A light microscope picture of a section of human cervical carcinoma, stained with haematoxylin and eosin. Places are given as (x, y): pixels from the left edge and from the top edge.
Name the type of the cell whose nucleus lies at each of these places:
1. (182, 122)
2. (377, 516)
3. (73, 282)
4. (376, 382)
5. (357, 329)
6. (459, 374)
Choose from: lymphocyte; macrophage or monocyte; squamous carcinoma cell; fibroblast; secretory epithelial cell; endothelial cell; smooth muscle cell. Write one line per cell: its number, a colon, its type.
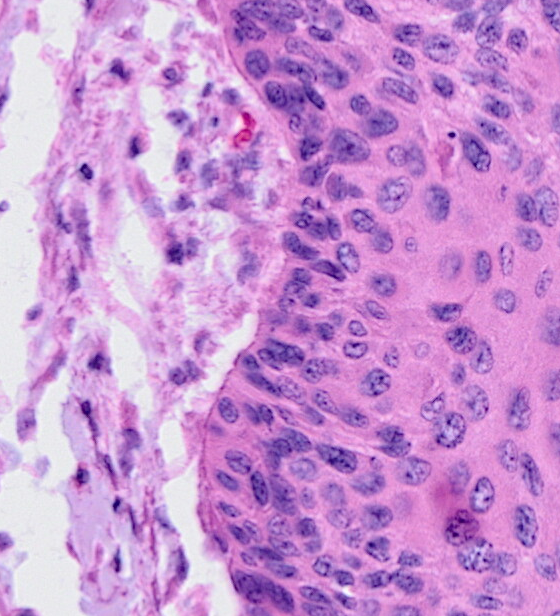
1: fibroblast
2: squamous carcinoma cell
3: fibroblast
4: squamous carcinoma cell
5: squamous carcinoma cell
6: squamous carcinoma cell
